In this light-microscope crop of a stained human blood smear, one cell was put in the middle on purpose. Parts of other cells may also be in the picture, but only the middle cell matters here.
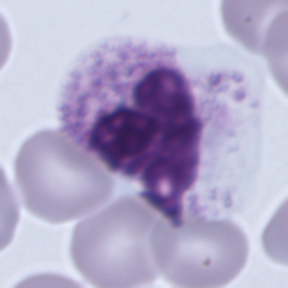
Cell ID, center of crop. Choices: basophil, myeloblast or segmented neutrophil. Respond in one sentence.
Among the cells in view, the one in the middle is a segmented neutrophil.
